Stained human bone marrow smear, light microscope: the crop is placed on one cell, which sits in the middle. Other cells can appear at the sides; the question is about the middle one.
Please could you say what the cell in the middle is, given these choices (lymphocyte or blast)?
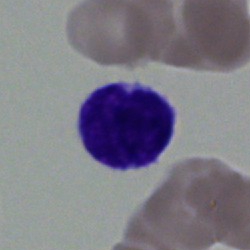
lymphocyte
